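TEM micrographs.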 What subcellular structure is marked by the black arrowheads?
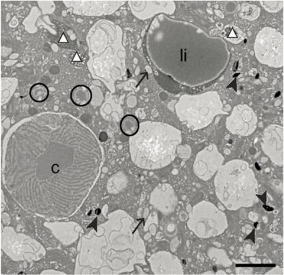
Electron opaque bodies.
